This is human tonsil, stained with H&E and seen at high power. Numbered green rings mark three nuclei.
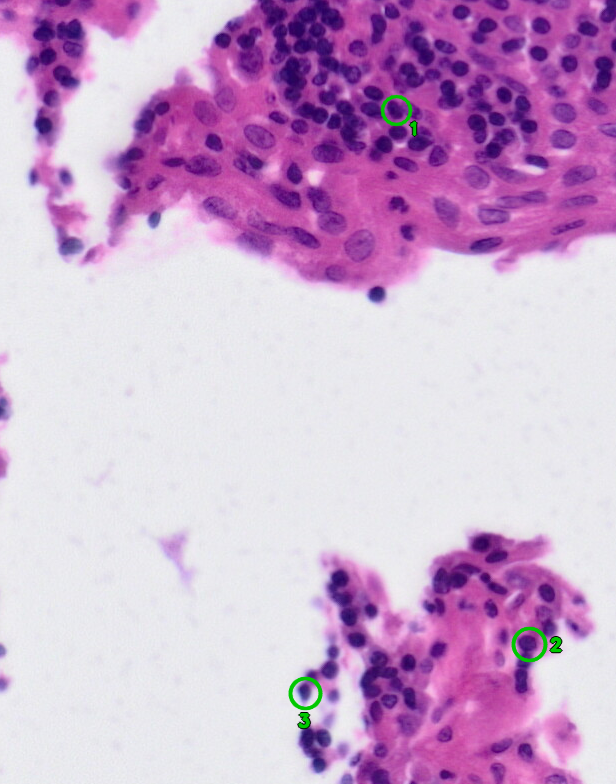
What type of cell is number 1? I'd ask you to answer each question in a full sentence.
Among the marked nuclei, number 1 belongs to a plasma cell.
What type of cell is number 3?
The nucleus marked 3 is the nucleus of a small lymphocyte.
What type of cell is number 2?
The cell identified by the number 2 is a plasma cell.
